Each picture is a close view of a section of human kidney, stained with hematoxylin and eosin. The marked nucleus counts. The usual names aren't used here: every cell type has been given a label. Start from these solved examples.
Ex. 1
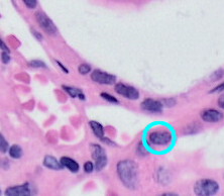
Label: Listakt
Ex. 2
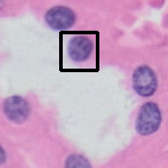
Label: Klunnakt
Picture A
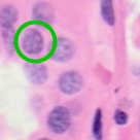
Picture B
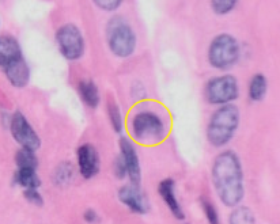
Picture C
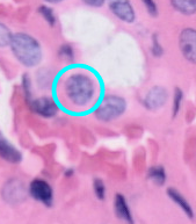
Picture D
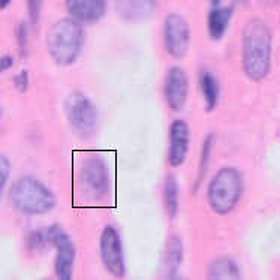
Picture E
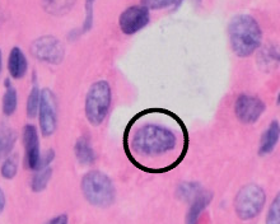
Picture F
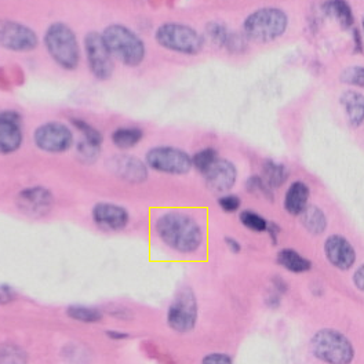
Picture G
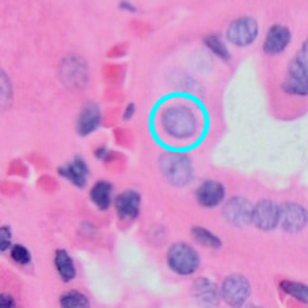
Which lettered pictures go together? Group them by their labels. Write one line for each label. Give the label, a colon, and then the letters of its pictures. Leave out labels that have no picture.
Listakt: A, B, C, G
Klunnakt: D, E, F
